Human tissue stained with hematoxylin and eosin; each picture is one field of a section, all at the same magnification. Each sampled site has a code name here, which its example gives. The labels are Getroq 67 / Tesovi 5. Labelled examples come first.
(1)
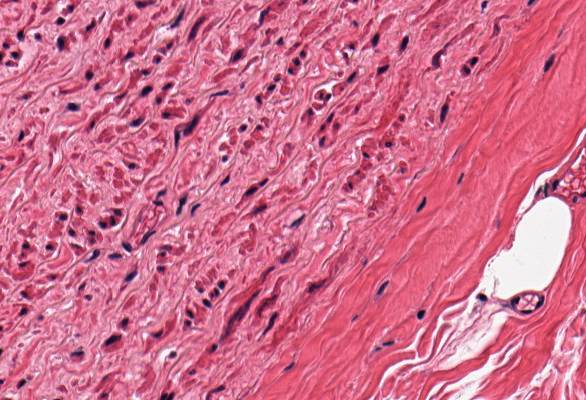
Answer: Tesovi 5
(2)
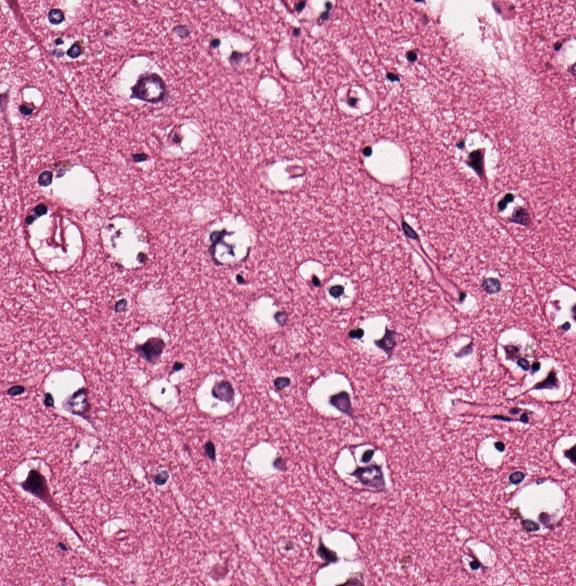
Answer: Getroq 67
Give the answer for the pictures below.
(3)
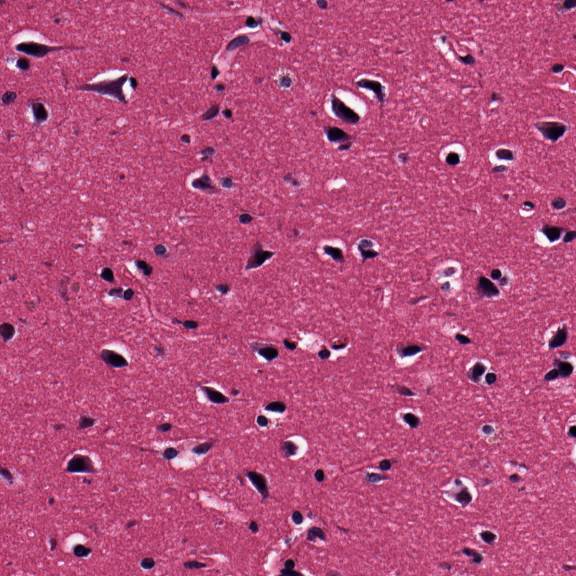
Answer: Getroq 67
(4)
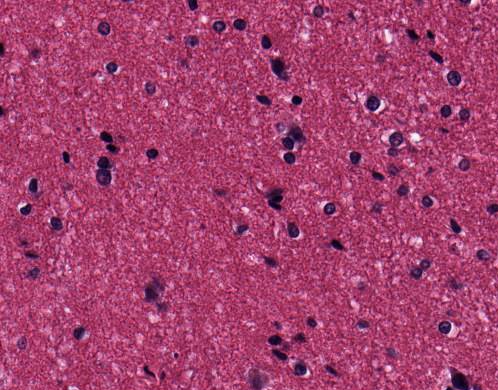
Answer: Getroq 67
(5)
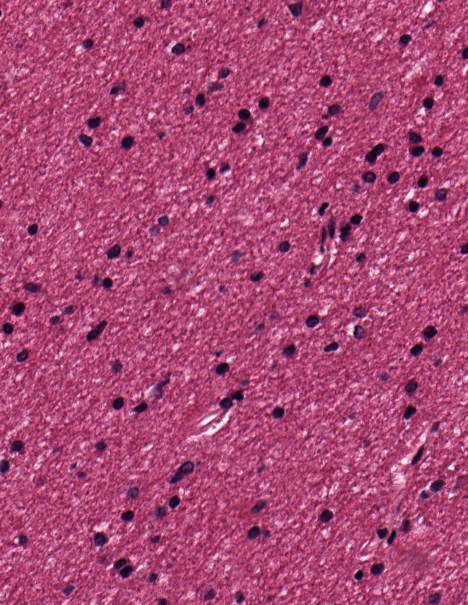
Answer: Getroq 67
